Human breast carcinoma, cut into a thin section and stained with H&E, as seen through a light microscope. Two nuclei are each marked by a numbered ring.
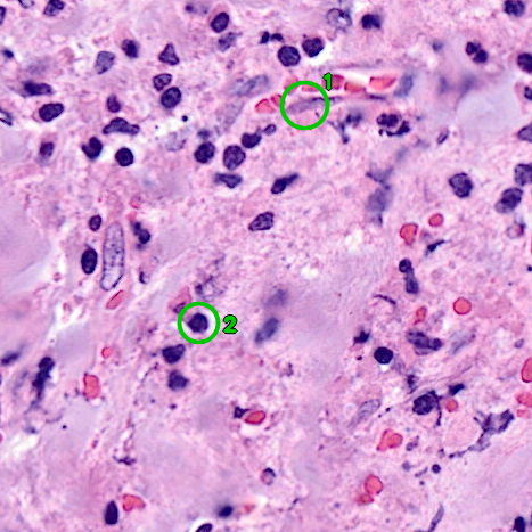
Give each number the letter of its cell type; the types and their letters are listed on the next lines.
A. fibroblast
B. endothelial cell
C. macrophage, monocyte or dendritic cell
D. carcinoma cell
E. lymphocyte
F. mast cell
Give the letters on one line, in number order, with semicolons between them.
B; E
